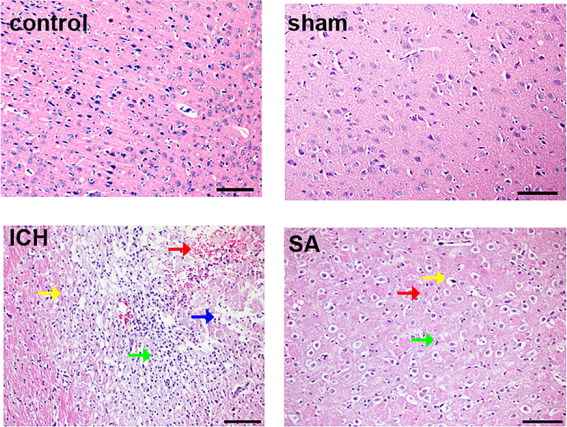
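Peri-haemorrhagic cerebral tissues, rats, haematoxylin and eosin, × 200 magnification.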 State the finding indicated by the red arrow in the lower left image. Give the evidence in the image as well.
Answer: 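The red arrow in the lower left image points to a patch of small bright red bodies without nuclei. The patch lies outside vessels, among disrupted tissue.
Hence: blood exudation.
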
